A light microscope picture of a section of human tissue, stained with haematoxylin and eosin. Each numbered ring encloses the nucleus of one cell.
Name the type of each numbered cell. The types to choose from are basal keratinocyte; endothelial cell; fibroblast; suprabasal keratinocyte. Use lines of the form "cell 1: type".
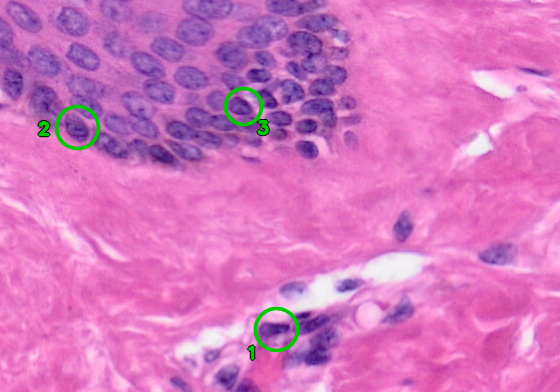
cell 1: endothelial cell
cell 2: basal keratinocyte
cell 3: basal keratinocyte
